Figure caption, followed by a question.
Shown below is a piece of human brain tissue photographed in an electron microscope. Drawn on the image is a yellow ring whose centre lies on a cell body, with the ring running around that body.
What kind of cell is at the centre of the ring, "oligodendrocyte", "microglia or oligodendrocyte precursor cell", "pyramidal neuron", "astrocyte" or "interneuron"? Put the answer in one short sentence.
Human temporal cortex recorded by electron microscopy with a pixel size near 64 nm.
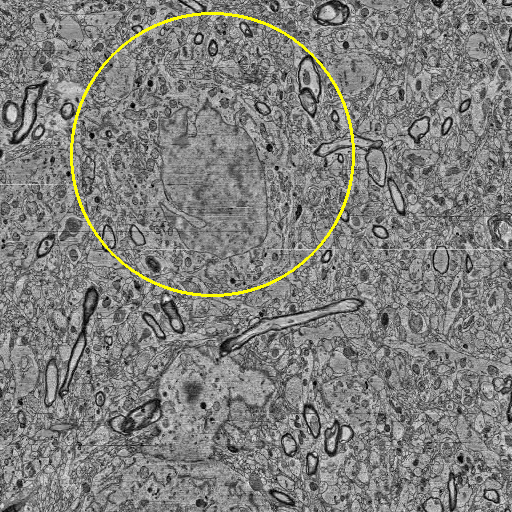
The ring marks the cell body of an interneuron.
